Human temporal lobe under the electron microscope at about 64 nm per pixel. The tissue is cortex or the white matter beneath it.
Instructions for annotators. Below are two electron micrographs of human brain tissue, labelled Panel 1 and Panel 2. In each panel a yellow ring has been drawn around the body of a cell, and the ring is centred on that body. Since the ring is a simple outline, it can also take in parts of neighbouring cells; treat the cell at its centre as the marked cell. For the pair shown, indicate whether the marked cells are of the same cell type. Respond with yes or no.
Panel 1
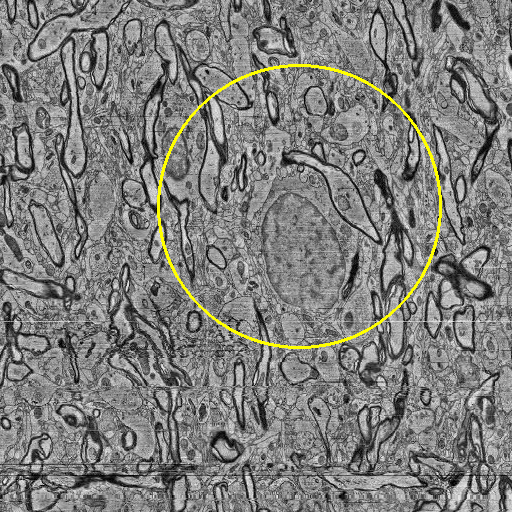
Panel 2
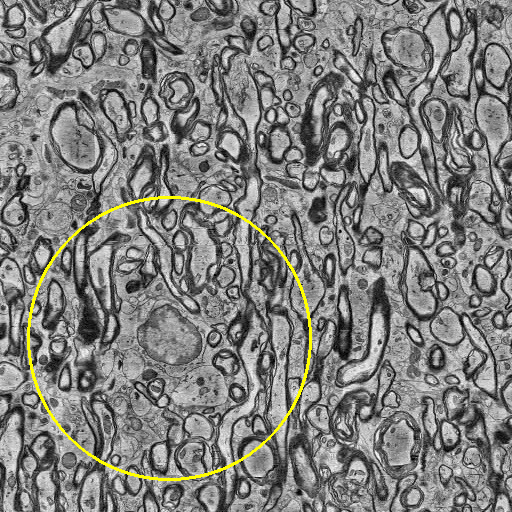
no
